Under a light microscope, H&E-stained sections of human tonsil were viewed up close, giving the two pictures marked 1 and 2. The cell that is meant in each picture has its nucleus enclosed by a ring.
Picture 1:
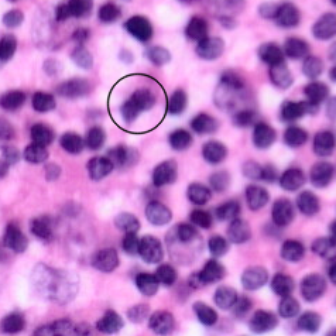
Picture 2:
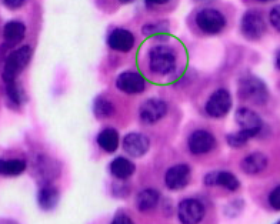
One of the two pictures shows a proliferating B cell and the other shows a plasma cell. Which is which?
1: proliferating B cell
2: plasma cell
